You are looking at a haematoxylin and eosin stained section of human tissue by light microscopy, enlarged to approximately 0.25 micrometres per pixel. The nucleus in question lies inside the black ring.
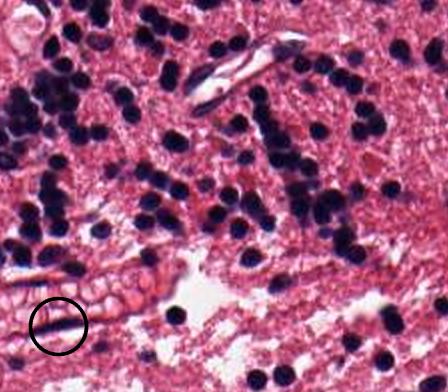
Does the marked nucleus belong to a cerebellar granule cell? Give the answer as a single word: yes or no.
no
